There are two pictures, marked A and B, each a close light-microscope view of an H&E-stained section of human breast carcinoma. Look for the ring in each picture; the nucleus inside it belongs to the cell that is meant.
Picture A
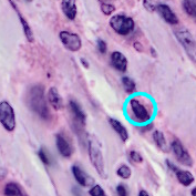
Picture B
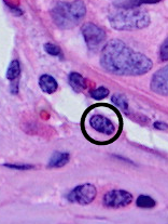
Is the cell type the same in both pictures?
no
